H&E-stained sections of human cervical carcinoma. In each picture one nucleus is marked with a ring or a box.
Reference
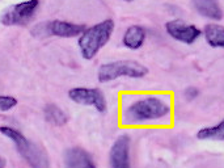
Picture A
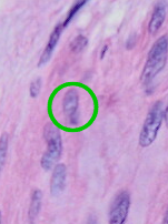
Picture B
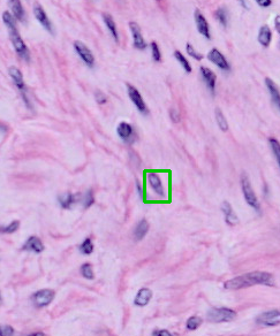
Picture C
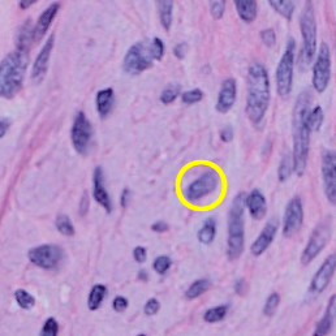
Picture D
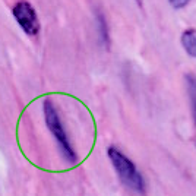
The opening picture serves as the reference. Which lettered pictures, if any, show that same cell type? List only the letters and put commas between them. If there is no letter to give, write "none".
D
